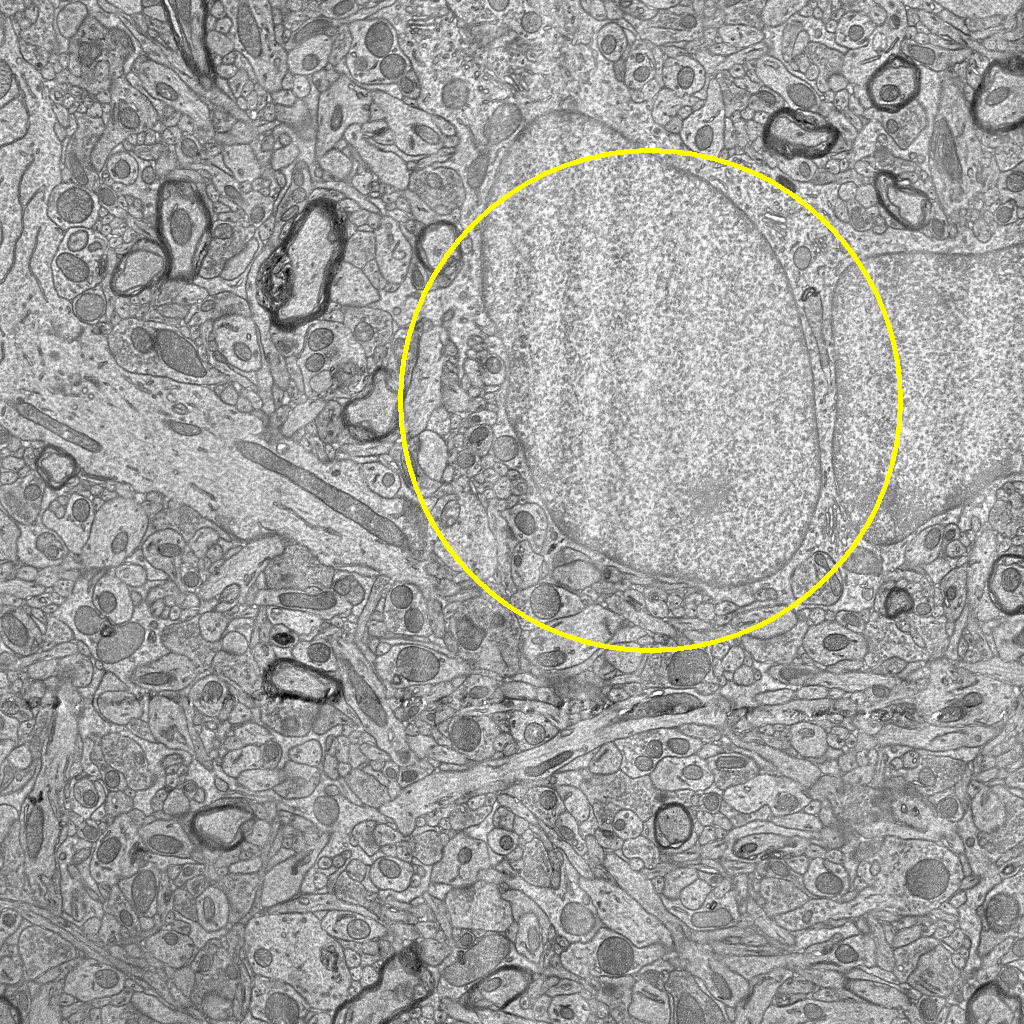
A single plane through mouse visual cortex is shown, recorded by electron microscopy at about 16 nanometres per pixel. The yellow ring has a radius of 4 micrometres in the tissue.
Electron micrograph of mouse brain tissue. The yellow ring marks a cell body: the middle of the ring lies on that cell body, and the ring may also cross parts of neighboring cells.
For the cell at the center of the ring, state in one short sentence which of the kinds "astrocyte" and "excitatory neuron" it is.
This ring's center lies on an astrocyte.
